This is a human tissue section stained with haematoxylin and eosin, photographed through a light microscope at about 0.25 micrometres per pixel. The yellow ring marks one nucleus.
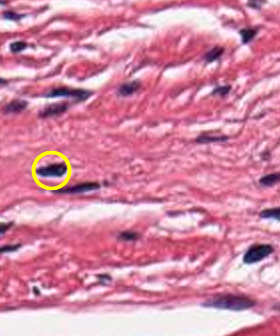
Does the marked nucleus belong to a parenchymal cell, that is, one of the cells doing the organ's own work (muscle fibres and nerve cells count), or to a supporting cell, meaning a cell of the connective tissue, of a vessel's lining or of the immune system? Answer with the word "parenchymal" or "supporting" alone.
supporting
